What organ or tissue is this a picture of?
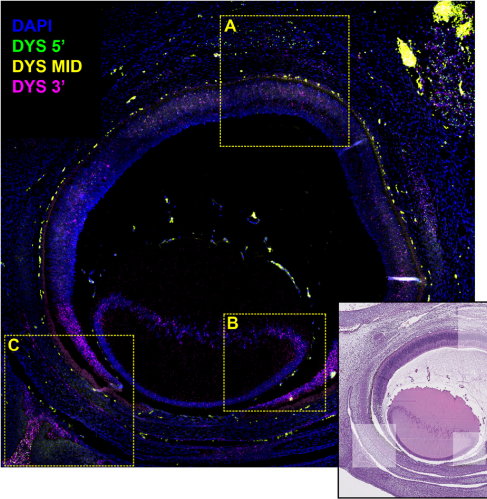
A: Eye.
